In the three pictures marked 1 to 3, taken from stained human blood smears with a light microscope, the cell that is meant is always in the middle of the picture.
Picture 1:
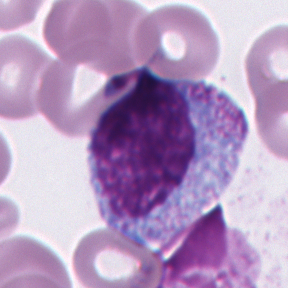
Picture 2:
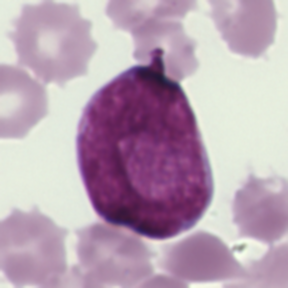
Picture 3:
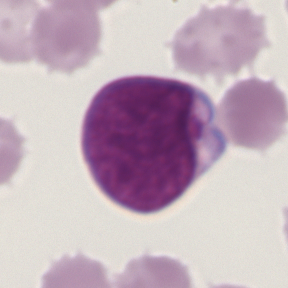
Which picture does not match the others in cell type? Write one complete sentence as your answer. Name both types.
The different one is picture 1; it shows a promyelocyte, whereas all the others show myeloblasts.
